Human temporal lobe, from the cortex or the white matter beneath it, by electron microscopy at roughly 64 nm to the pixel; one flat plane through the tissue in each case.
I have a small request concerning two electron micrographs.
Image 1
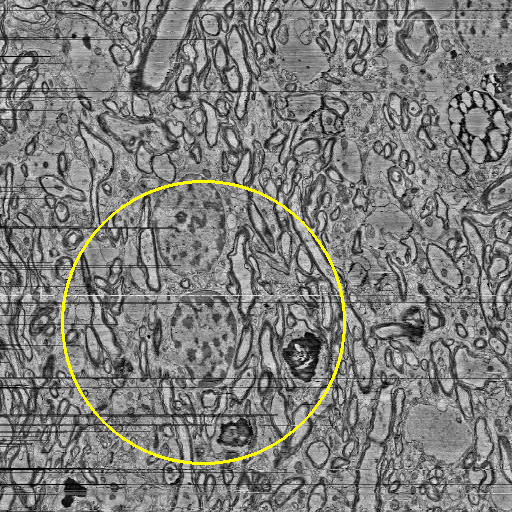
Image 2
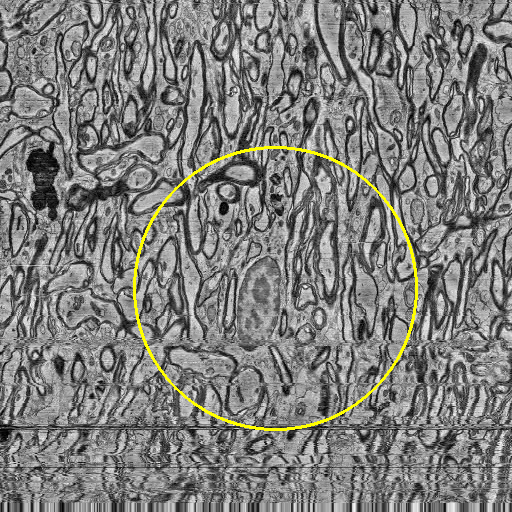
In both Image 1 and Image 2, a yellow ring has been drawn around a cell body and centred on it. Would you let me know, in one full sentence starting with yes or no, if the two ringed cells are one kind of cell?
Yes, the cells ringed in Image 1 and Image 2 are one kind of cell.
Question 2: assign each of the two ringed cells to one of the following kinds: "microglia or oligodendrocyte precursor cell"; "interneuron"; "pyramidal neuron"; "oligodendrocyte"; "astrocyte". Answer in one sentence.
The cell at the ring centre is a microglial cell or oligodendrocyte precursor cell in both pictures.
